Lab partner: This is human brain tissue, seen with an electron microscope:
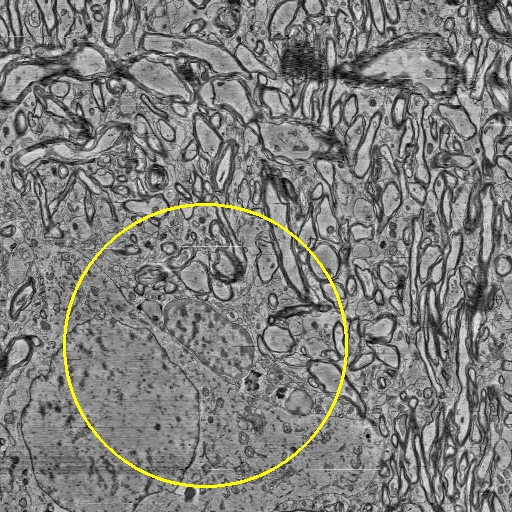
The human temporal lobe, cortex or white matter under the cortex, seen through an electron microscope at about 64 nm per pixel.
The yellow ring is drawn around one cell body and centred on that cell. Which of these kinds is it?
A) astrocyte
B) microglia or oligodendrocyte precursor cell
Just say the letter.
B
